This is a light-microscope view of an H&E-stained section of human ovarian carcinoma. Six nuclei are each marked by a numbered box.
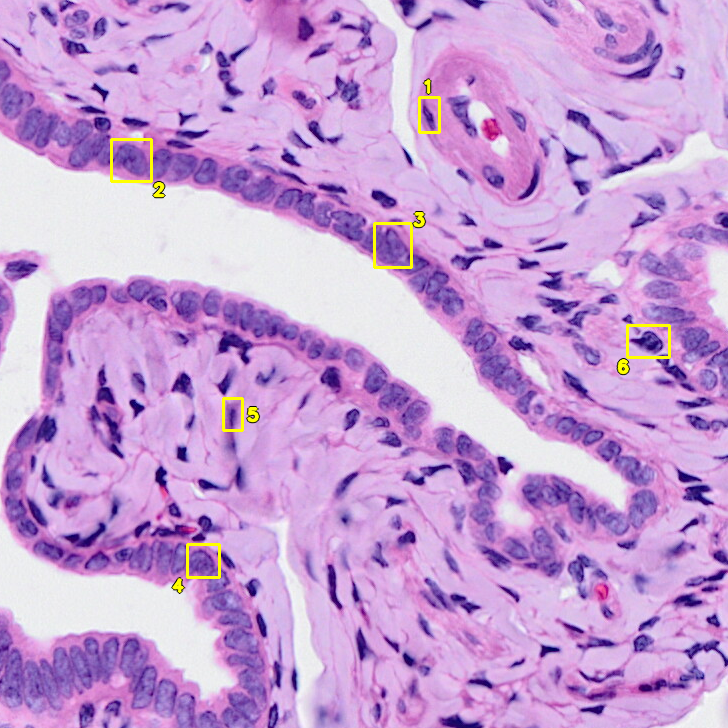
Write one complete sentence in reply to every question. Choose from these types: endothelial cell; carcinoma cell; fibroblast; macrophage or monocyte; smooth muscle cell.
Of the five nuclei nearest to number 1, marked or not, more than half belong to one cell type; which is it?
Most of the five nuclei nearest to number 1 are those of endothelial cells.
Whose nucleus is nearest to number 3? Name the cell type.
The nucleus nearest to number 3 is that of a carcinoma cell.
